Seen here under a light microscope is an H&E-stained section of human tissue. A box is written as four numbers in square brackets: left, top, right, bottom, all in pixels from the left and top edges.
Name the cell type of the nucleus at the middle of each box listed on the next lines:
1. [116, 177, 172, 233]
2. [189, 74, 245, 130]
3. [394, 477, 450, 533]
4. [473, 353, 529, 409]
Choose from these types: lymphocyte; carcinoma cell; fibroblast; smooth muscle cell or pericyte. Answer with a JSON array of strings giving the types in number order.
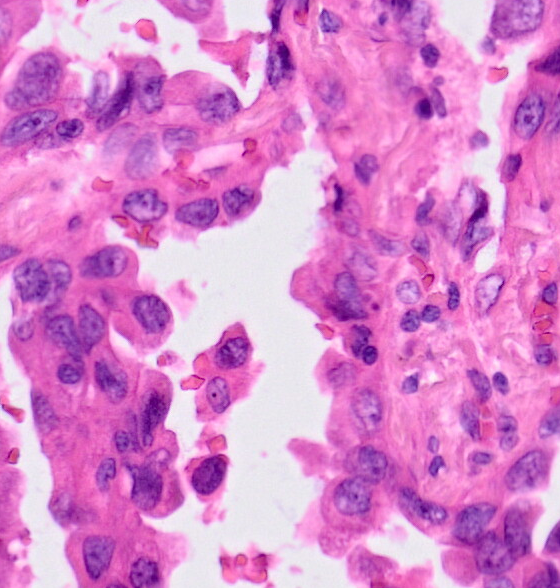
["carcinoma cell", "carcinoma cell", "carcinoma cell", "lymphocyte"]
